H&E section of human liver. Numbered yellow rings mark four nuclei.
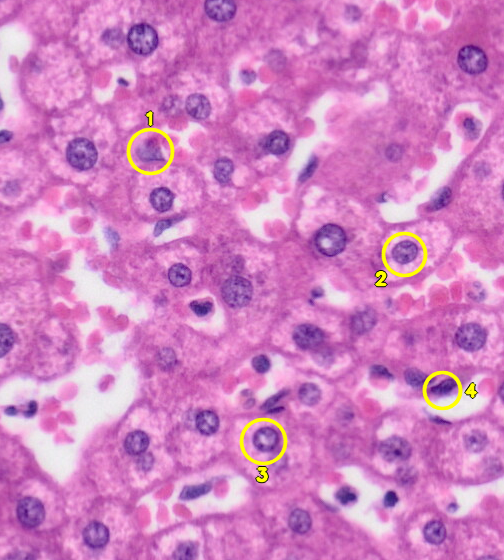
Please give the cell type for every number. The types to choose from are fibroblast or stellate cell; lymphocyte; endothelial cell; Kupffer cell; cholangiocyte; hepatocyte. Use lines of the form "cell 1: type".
cell 1: endothelial cell
cell 2: hepatocyte
cell 3: hepatocyte
cell 4: Kupffer cell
